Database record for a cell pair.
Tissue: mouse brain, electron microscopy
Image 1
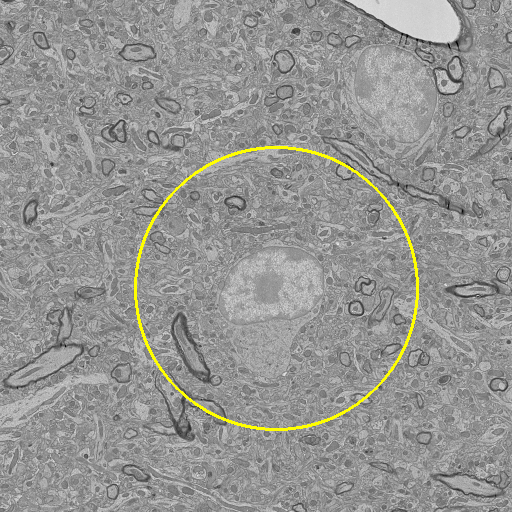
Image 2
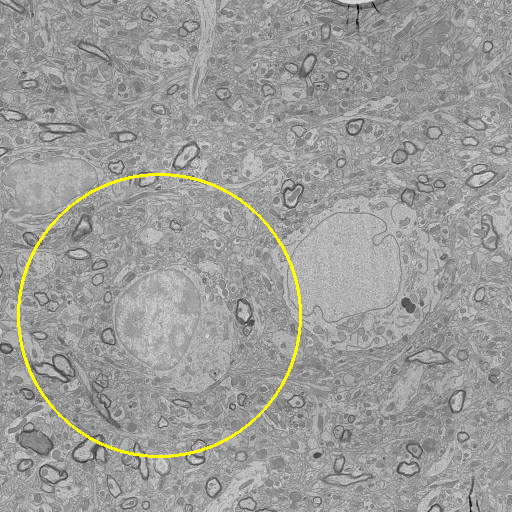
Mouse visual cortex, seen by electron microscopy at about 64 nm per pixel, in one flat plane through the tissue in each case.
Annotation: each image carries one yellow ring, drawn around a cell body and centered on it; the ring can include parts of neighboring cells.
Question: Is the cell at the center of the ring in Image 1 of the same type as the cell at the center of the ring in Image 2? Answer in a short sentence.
Yes, the cells are of the same type.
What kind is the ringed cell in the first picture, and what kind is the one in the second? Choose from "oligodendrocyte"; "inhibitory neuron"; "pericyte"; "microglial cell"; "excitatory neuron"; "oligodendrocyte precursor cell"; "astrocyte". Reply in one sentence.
In each of the two pictures, the ringed cell is an oligodendrocyte.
